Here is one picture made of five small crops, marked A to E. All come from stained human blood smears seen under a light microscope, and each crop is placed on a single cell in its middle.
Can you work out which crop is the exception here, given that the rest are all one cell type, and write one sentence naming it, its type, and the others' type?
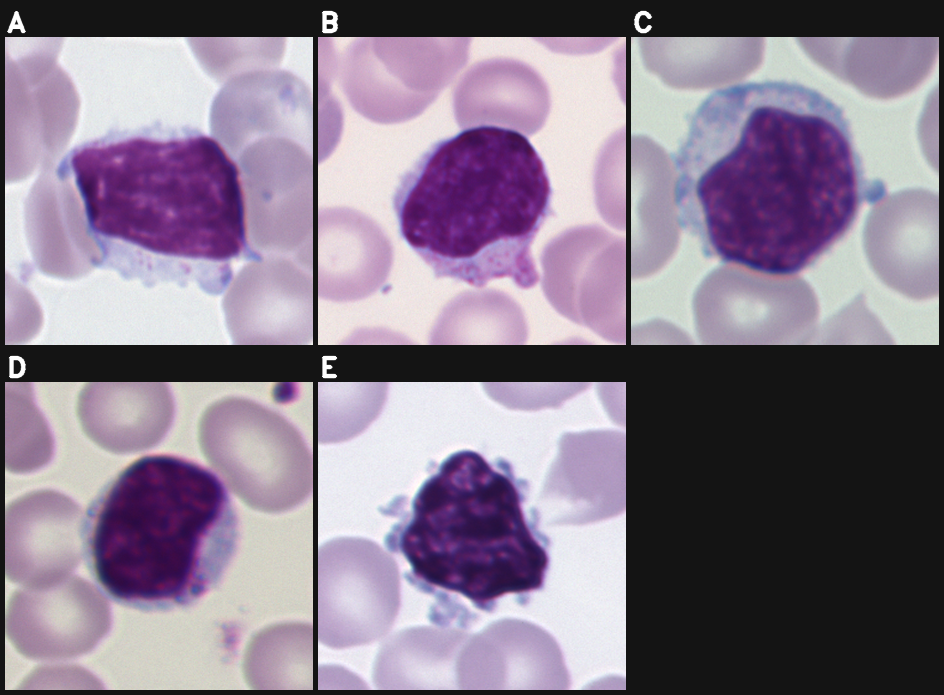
Crop A is a large granular lymphocyte, the one exception to the typical lymphocytes of the other crops.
